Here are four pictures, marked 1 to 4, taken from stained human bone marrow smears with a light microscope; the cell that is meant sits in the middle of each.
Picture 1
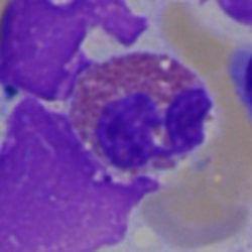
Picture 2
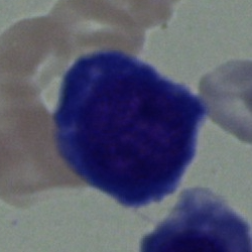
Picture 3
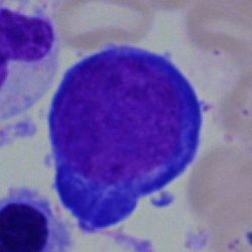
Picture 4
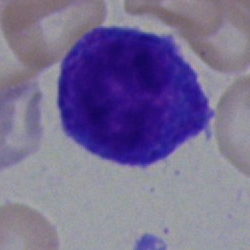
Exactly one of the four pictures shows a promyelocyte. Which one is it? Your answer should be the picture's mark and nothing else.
4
